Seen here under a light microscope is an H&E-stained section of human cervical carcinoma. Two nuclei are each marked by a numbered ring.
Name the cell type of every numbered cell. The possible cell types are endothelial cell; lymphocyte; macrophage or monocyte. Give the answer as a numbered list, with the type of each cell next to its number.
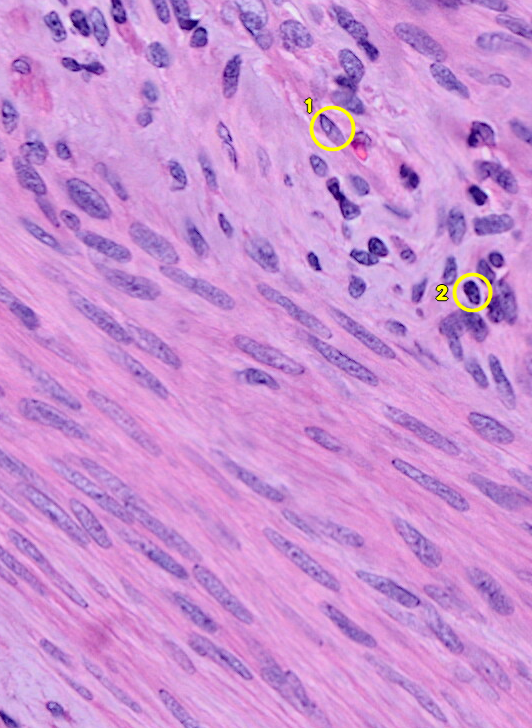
1. endothelial cell
2. lymphocyte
